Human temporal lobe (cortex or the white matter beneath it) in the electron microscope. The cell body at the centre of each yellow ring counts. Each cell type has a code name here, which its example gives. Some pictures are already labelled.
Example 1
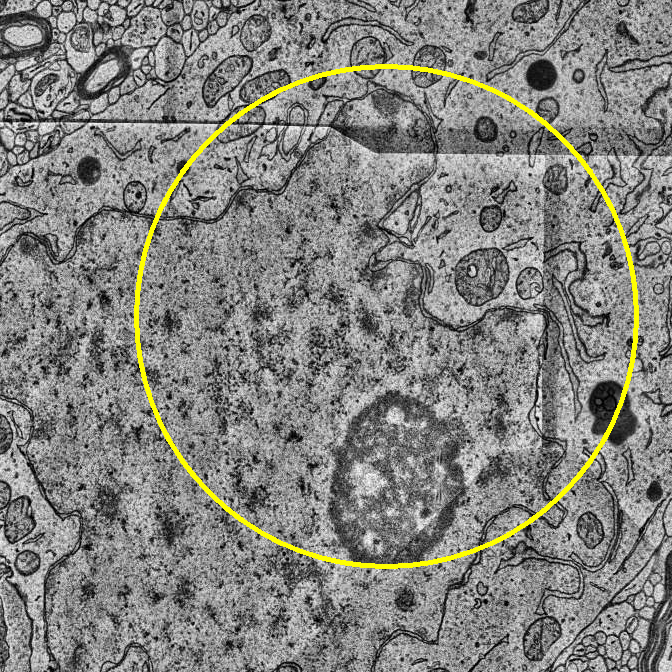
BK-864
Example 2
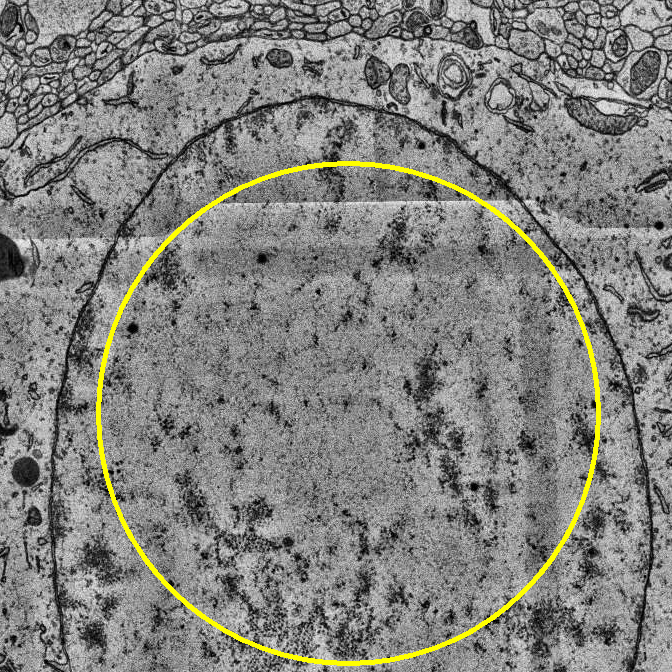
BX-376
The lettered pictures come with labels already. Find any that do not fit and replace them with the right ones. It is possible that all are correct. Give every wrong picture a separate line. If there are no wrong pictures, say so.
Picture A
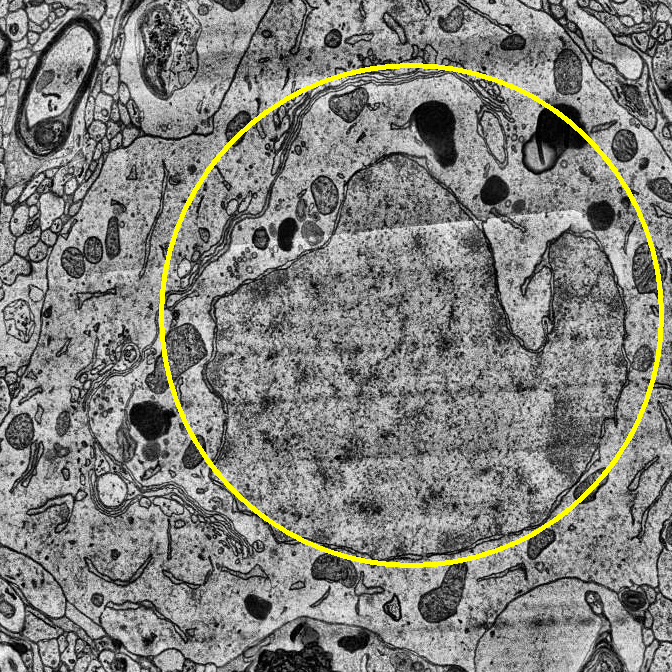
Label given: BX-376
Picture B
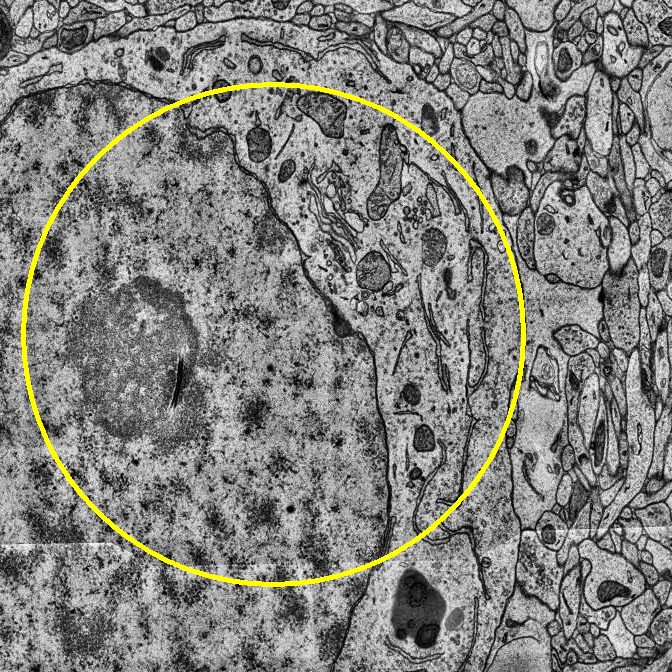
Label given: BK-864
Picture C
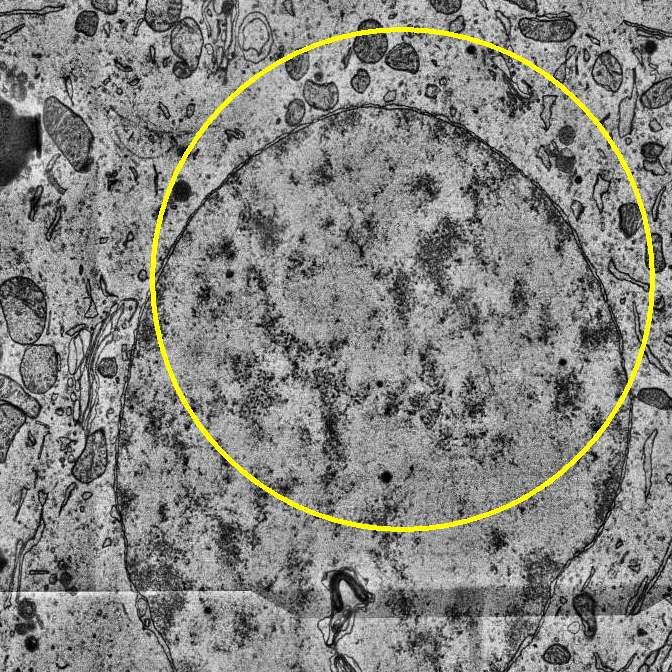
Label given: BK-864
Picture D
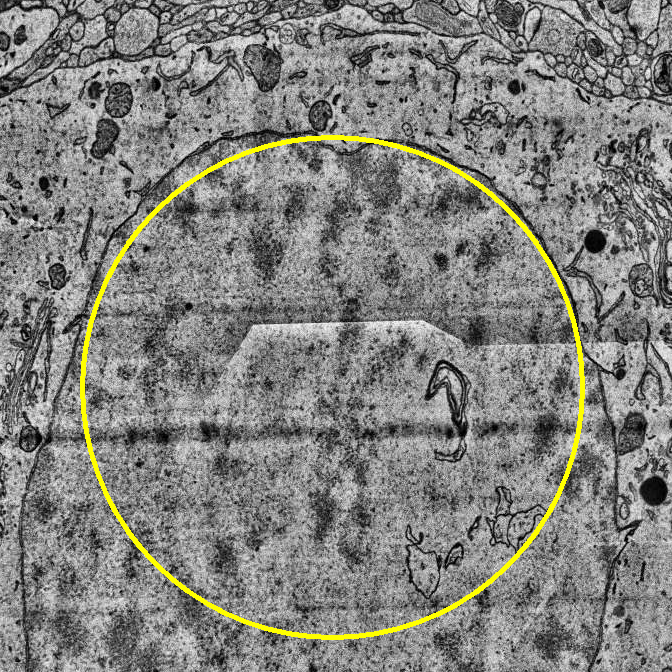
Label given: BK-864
A is labelled BX-376; correct label: BK-864
D is labelled BK-864; correct label: BX-376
